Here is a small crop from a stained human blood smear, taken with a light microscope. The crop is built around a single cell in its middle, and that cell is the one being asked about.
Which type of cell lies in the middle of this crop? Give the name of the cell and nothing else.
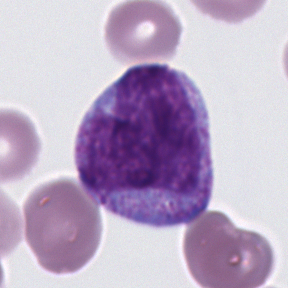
atypical promyelocyte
